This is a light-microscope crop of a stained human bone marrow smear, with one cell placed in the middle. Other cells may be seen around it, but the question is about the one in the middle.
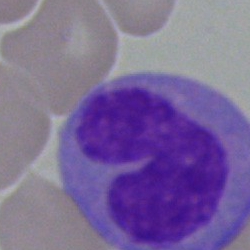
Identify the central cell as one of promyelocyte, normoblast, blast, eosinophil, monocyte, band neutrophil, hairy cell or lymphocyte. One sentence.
This particular crop is centered on a monocyte.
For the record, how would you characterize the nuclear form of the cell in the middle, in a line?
One compact mass makes up the whole nucleus, round, oval or kidney-shaped.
